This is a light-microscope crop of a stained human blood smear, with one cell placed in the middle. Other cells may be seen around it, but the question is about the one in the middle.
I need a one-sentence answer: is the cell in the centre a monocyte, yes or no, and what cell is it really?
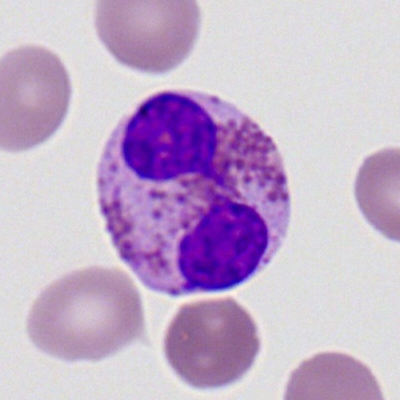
No, the centrally placed cell is an eosinophil, not a monocyte.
